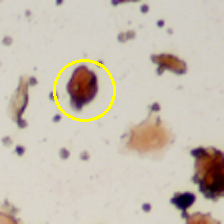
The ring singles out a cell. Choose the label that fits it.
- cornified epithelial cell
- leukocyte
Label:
cornified epithelial cell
